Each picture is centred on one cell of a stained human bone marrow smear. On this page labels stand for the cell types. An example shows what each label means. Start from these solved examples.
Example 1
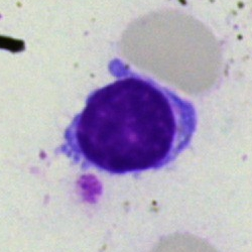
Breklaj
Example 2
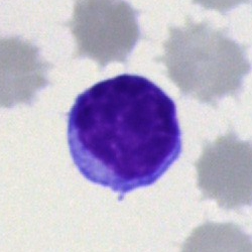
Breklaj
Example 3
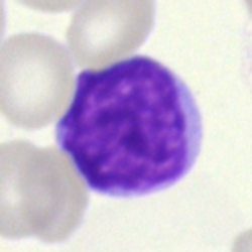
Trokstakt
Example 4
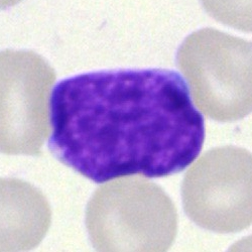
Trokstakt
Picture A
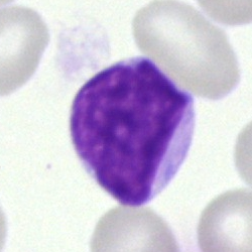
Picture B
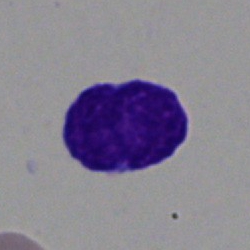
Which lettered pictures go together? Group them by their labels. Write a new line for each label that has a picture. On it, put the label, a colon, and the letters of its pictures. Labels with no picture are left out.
Trokstakt: A, B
